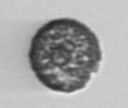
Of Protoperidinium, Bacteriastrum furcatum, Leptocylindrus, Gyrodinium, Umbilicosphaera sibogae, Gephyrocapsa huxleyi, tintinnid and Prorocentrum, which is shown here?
Umbilicosphaera sibogae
